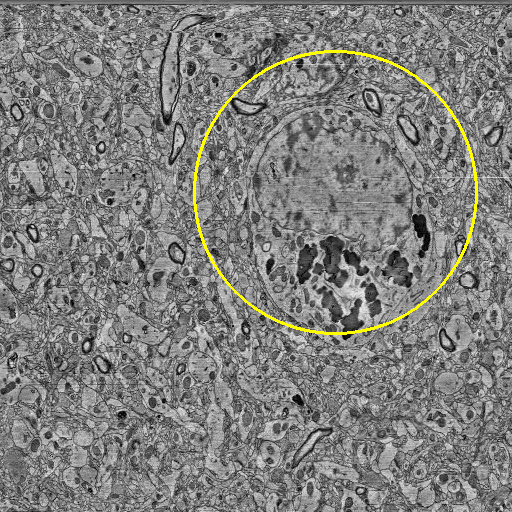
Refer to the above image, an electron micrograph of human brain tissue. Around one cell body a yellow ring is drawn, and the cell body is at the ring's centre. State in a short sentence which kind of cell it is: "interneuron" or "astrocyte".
The centre of the ring falls on an interneuron.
